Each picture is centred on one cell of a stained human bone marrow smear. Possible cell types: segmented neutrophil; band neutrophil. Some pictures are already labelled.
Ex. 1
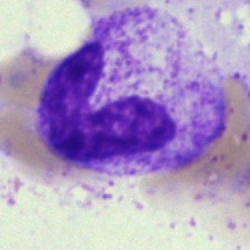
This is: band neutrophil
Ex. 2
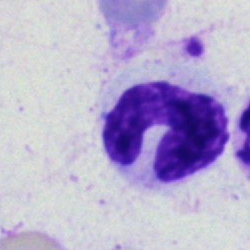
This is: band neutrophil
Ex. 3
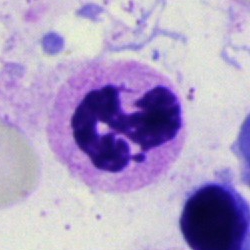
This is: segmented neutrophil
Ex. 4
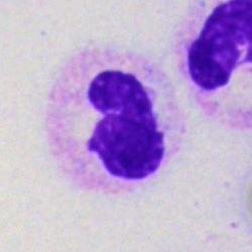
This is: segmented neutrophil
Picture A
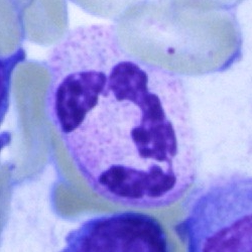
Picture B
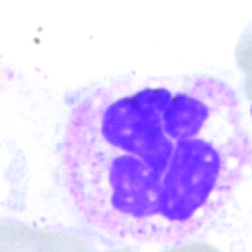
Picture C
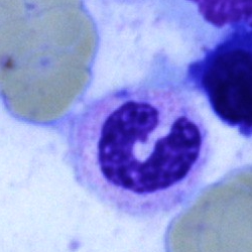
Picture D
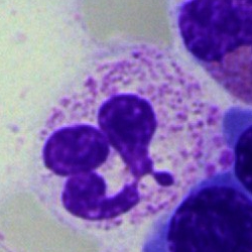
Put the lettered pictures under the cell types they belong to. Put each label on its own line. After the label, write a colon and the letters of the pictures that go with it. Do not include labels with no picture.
segmented neutrophil: A, B, C, D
